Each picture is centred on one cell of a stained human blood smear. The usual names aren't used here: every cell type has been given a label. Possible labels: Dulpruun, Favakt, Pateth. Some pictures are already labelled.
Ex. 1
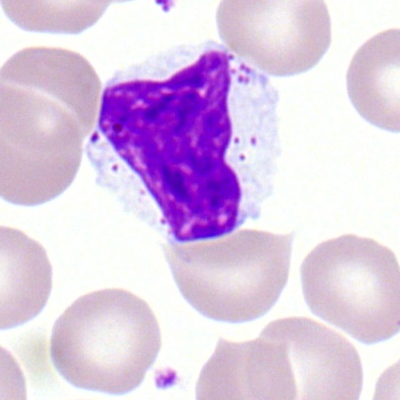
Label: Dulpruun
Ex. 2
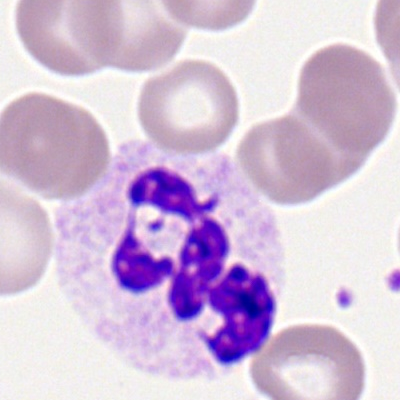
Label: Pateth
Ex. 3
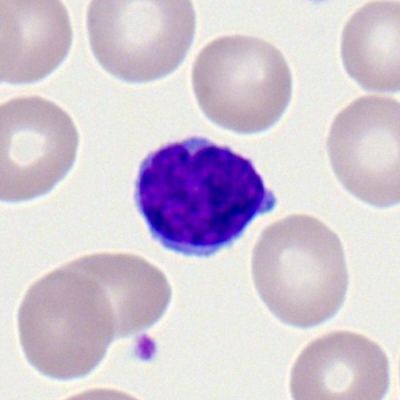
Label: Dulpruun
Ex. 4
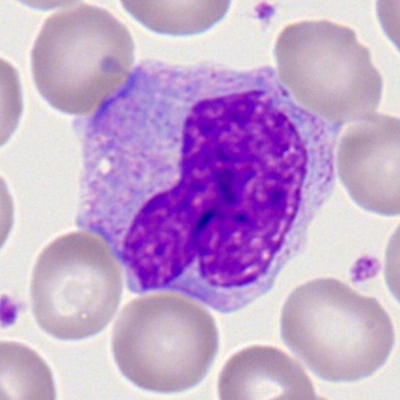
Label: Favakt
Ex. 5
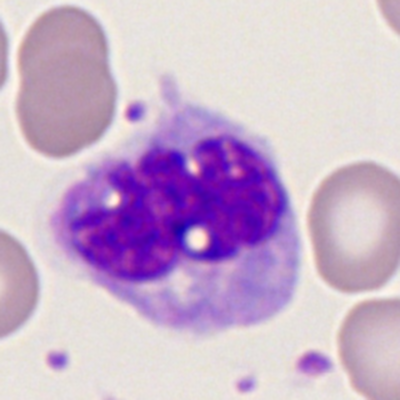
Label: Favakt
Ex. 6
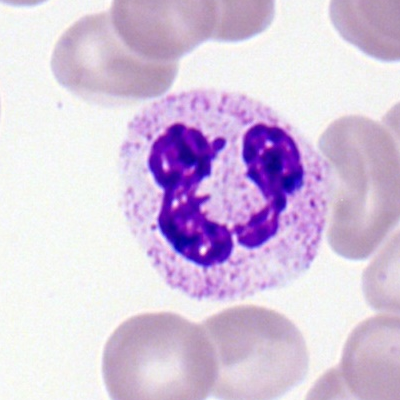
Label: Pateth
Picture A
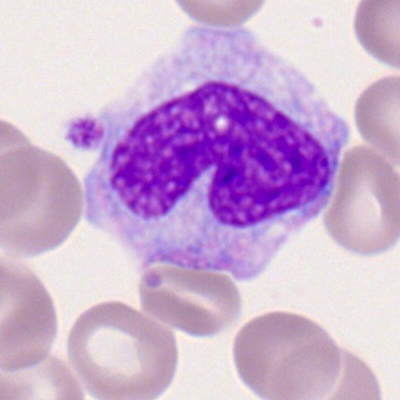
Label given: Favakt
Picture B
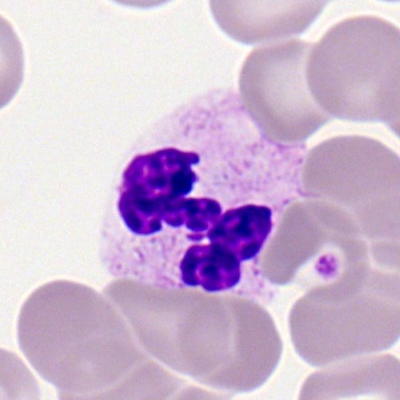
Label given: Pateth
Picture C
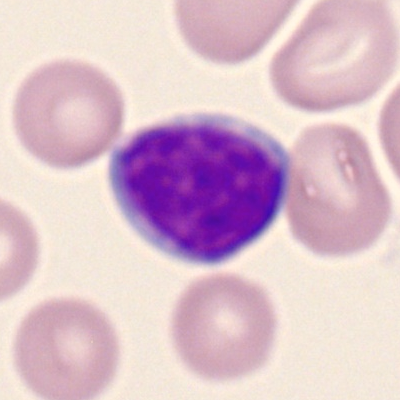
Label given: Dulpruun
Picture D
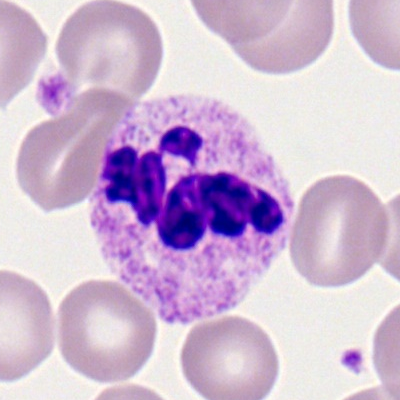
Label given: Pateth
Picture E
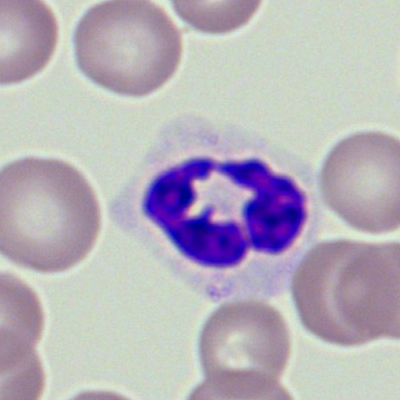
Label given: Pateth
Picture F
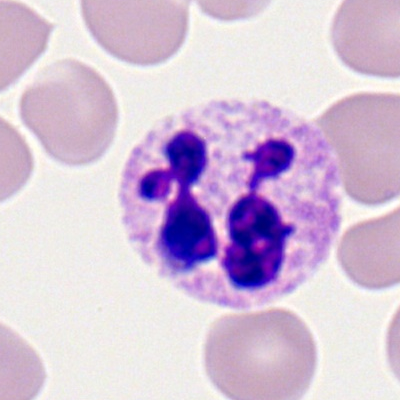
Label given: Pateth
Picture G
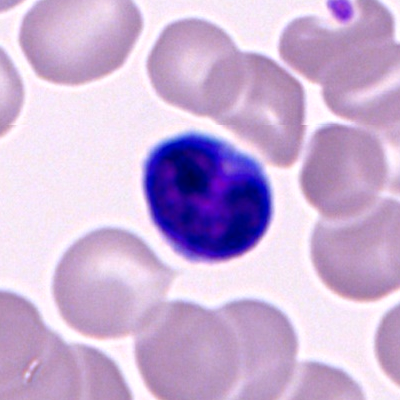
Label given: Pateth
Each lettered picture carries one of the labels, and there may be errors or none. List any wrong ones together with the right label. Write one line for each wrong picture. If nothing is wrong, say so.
G should be Dulpruun, not Pateth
